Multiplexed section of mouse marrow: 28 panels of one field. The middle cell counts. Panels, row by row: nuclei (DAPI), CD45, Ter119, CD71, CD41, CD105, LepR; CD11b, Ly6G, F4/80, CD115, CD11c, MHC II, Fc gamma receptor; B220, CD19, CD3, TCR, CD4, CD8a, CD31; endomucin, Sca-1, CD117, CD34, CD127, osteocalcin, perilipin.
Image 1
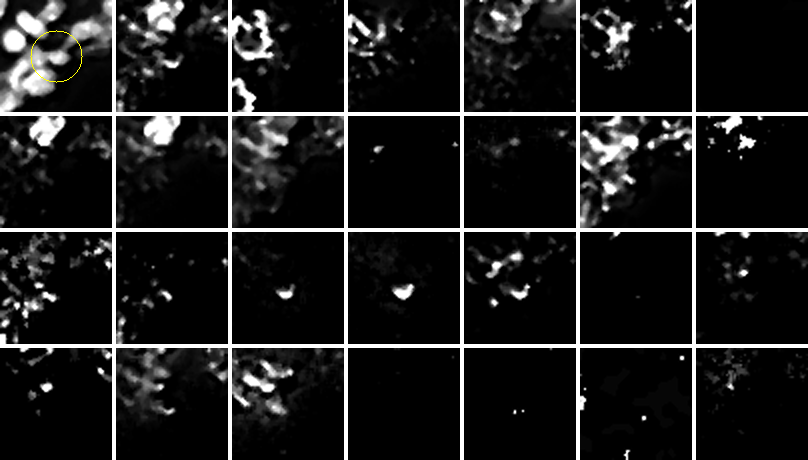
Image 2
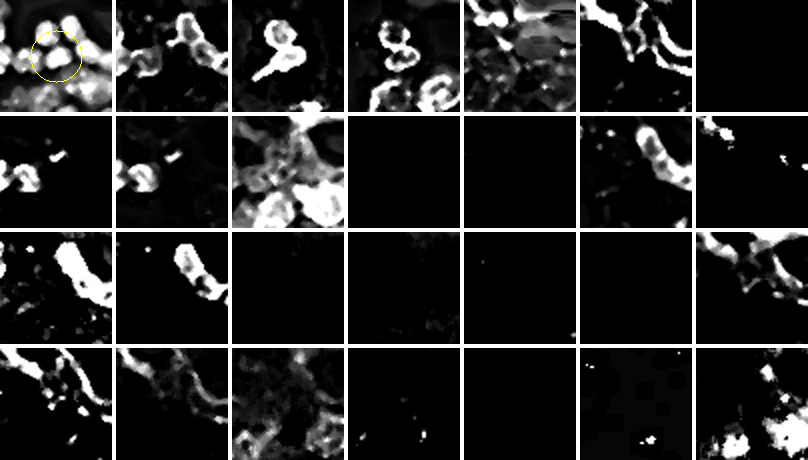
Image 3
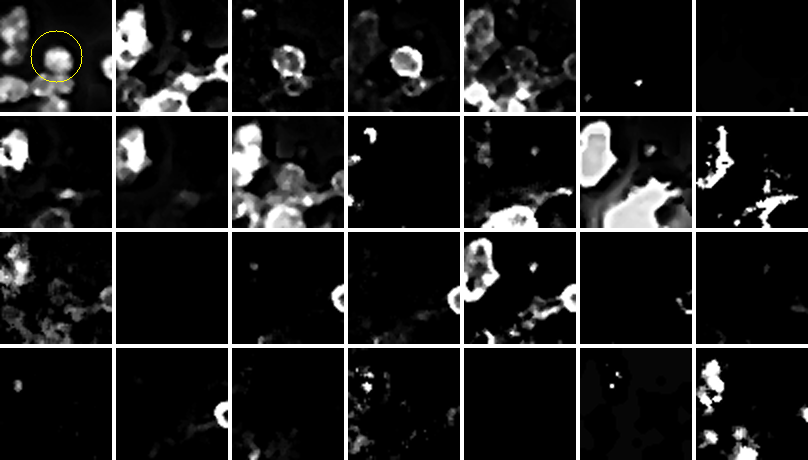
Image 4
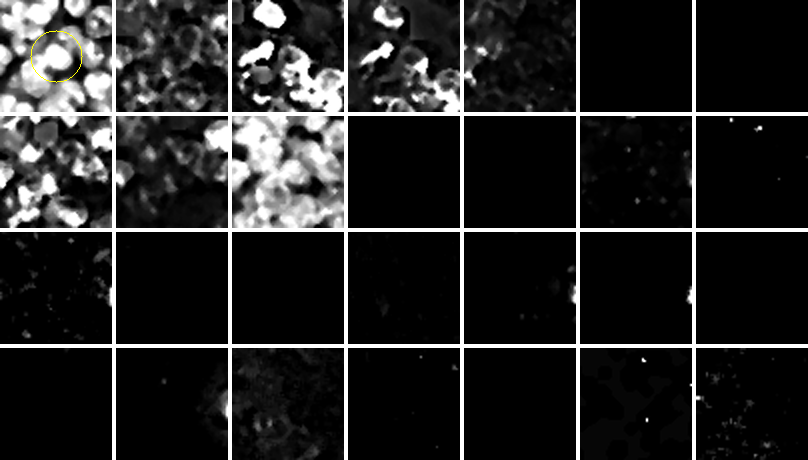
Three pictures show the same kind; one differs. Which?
Picture 1: a CD4 T cell, while the others are erythroblasts.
